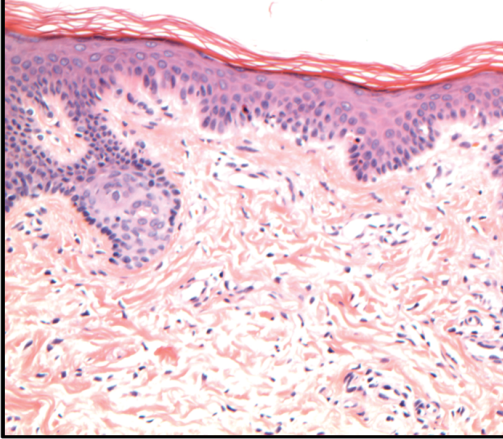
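This is skin, with the epidermis of keratinocytes along the top and the dermis below. The epidermis forms downward ridges that interlock with dermal papillae, and its basal cells have darker purple nuclei than the paler cells above them. On the surface lies a bright pink, loosely layered cornified layer. The dermis is made of pale pink, loosely arranged collagen with scattered spindle-shaped nuclei and only a few small dark cells. The junction between epidermis and dermis is sharp and orderly.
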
